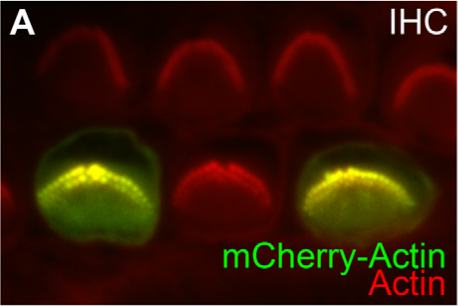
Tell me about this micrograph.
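The bundles appear as curved rows of fine, closely packed actin-rich projections outlined in red. In the lower row, two cells show green fluorescence over the whole apical surface. In these two cells the green is brightest in the bundle, which looks yellow where the green overlaps the red. The bundles of the neighbouring cells, above and beside them, are red only. The cells sit side by side in regular rows.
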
